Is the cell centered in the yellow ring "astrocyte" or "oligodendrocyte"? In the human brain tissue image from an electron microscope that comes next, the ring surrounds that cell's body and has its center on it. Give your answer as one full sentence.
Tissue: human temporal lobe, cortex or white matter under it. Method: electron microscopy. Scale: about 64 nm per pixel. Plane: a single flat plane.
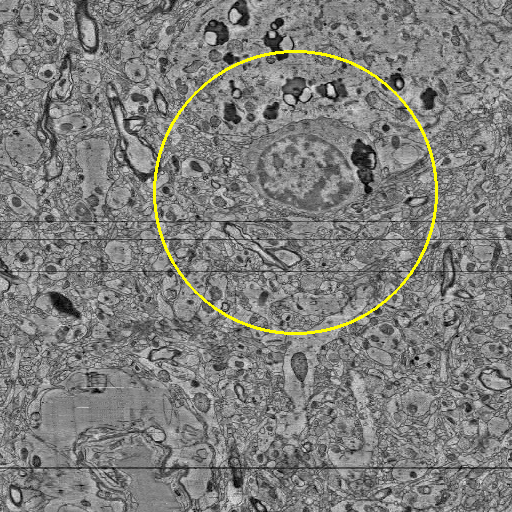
The cell at the center of the yellow ring is an oligodendrocyte in the micrograph.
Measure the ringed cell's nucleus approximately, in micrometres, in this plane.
About 6 by 5 micrometers, in this plane.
